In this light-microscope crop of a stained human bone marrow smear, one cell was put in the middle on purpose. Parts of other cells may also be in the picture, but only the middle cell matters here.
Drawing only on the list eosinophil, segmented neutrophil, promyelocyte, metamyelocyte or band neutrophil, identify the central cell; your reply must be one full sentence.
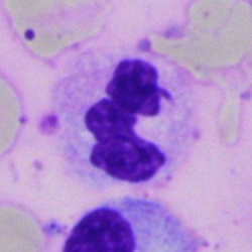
The cell at the centre of the field is a segmented neutrophil.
